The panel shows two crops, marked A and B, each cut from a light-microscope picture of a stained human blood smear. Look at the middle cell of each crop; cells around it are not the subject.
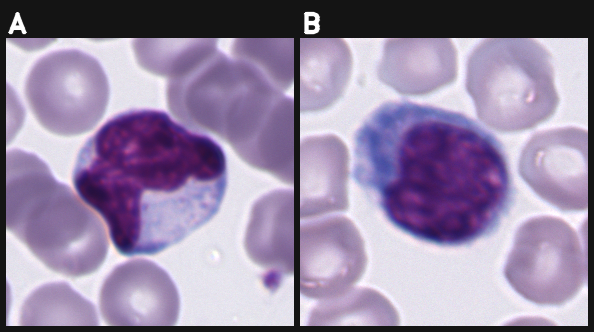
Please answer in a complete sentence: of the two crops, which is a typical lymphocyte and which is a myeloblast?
So, crop A is a typical lymphocyte, and crop B is a myeloblast.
